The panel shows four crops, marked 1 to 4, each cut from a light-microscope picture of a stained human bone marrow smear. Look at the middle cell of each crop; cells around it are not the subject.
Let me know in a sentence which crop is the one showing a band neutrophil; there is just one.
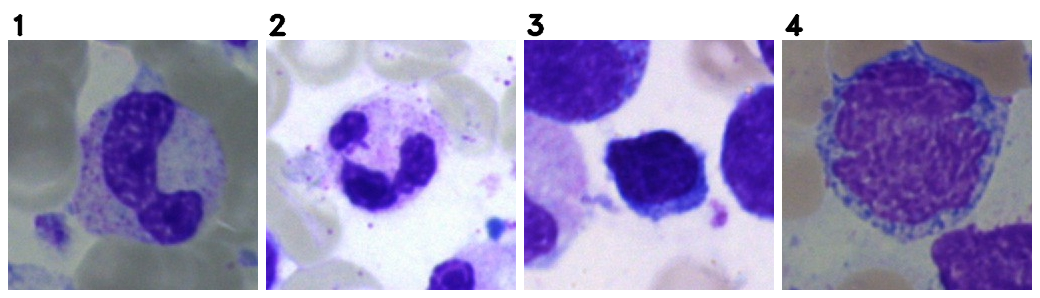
Of all the crops, crop 1 is the one showing a band neutrophil.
